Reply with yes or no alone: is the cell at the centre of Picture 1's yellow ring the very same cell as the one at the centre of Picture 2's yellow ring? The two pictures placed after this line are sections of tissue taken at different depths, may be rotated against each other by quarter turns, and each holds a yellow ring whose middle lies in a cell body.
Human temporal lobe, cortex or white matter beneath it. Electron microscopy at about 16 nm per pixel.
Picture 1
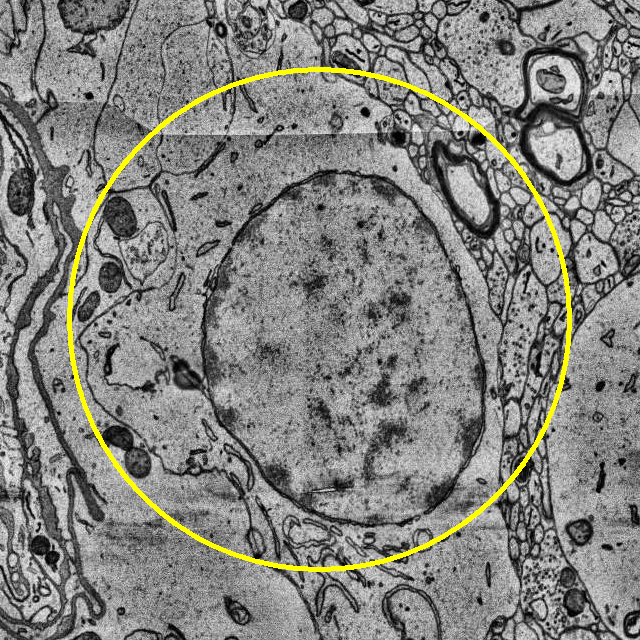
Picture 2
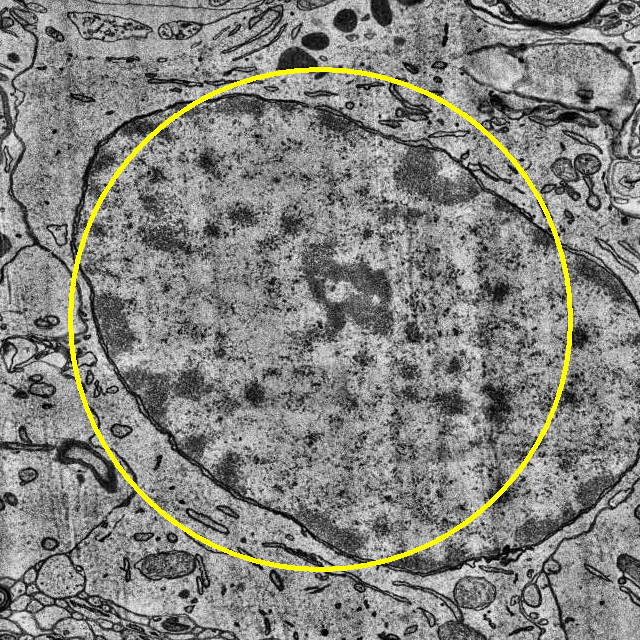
no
